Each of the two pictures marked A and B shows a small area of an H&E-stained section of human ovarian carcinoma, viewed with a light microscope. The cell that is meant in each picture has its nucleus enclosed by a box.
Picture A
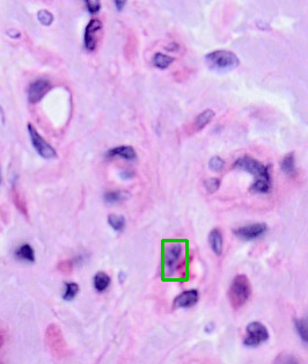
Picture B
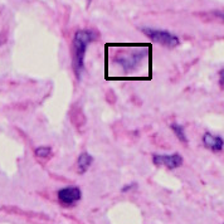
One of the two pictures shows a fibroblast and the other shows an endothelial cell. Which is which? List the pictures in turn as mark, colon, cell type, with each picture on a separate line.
A: endothelial cell
B: fibroblast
